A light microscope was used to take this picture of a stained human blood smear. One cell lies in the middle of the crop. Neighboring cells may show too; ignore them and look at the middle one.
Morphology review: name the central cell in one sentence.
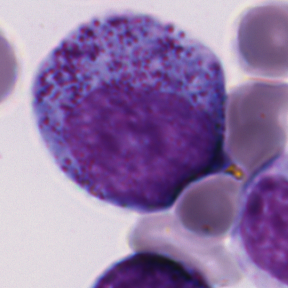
In this crop, the cell at the very middle is a promyelocyte.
